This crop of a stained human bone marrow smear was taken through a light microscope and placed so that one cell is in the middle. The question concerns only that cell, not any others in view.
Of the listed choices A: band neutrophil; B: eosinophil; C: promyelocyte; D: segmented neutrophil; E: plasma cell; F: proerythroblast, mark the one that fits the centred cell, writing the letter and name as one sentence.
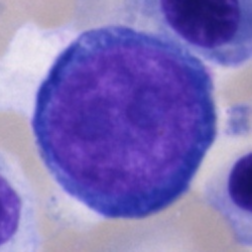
Option F holds, for the cell in the middle is a proerythroblast.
